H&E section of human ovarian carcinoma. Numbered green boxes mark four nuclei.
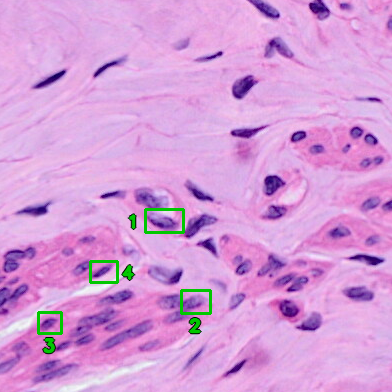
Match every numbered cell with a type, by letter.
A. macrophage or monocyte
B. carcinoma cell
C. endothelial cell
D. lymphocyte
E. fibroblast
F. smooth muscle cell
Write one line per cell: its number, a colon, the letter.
1: C
2: F
3: F
4: F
